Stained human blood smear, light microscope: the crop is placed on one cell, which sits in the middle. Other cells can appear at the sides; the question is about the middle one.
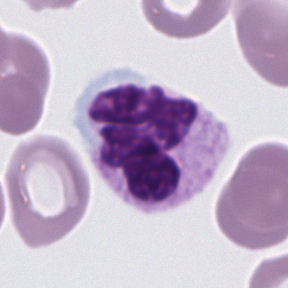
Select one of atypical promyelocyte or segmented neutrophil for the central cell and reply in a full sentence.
In short, the cell at the center is a segmented neutrophil.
